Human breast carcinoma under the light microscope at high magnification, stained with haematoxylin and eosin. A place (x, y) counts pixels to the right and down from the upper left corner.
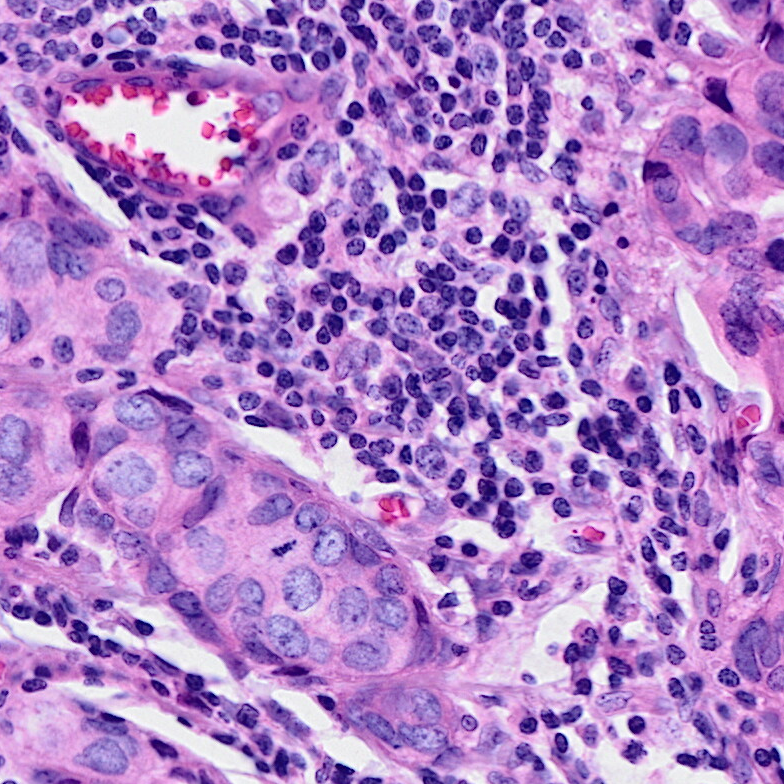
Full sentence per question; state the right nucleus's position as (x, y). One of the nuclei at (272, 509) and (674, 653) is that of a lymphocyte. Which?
The nucleus that sits at (674, 653) is the nucleus of a lymphocyte.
